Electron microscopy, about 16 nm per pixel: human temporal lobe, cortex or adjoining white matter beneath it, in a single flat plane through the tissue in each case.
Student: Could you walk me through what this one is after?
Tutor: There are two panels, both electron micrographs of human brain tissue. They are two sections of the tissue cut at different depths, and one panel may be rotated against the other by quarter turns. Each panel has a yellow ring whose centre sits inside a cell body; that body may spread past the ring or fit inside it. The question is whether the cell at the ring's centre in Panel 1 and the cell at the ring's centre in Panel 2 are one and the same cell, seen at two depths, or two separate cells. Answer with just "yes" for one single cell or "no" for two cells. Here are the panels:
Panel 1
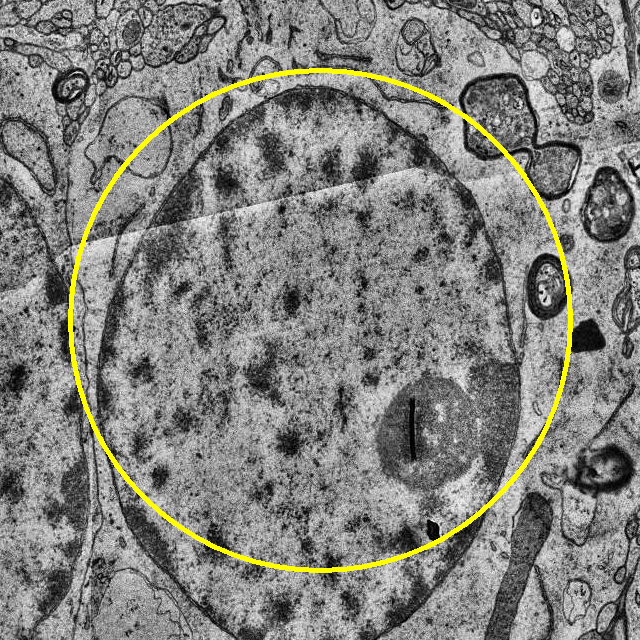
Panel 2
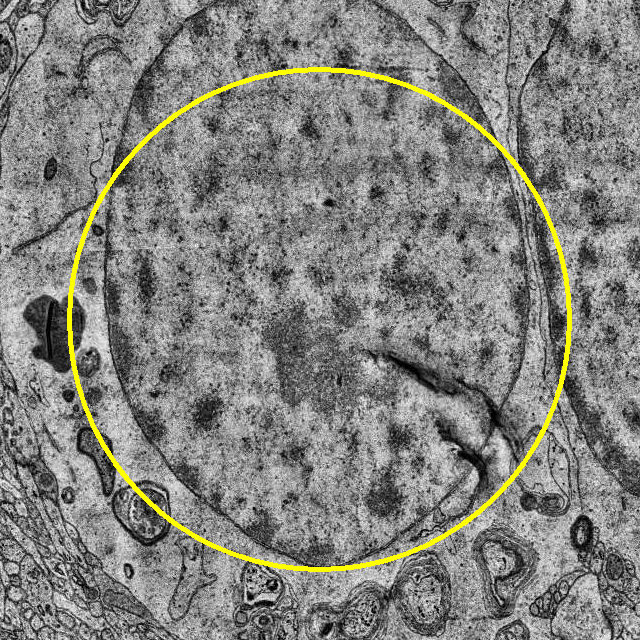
yes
